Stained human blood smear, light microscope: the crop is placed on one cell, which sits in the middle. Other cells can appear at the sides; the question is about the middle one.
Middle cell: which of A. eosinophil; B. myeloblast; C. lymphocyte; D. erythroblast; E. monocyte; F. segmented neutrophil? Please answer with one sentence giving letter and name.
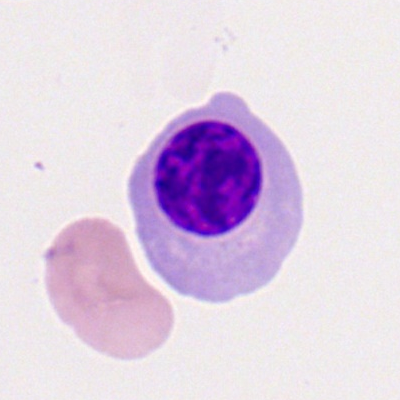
Here the right option is D, as the cell in the middle is an erythroblast.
